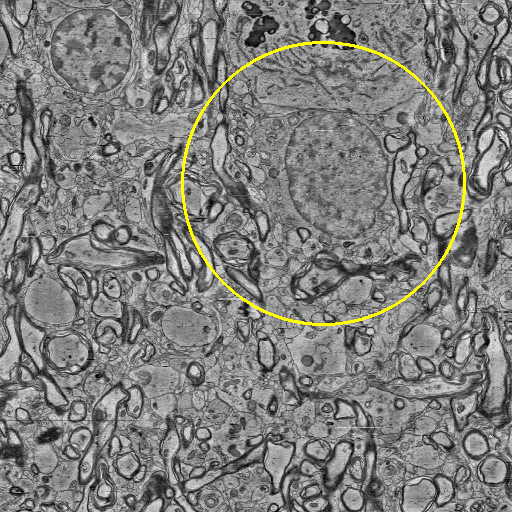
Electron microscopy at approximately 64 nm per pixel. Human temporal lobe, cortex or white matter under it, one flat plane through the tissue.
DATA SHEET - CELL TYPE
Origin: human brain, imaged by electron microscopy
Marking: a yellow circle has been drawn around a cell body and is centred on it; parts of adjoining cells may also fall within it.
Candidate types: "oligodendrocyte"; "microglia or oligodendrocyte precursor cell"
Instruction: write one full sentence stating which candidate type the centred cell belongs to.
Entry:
The cell body at the centre of the yellow ring in this micrograph belongs to an oligodendrocyte.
